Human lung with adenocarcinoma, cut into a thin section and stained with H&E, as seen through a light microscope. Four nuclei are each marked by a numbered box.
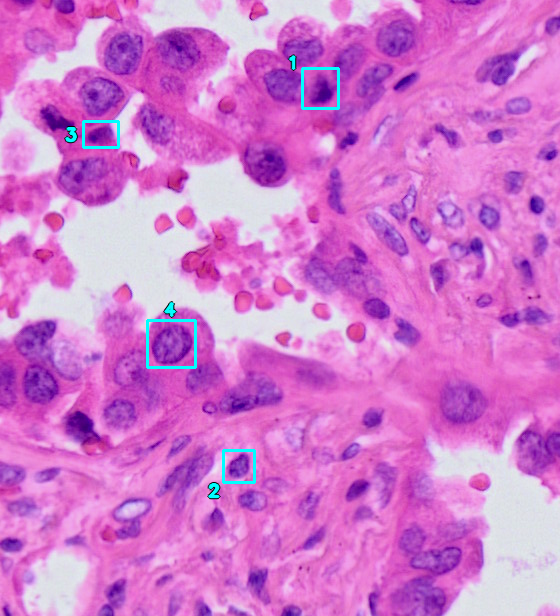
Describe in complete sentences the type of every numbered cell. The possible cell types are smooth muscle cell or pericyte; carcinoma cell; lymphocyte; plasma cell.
Cells 1, 3 and 4 are carcinoma cells. Cell 2 is a lymphocyte.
